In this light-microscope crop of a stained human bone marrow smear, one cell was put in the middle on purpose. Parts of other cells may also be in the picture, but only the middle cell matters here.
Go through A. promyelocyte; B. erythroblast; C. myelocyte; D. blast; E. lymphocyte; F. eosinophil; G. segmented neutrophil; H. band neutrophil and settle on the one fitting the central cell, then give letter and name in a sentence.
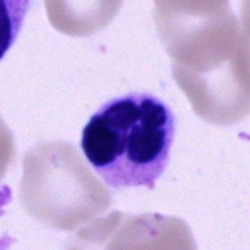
Option G is accurate; the centrally placed cell is a segmented neutrophil.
